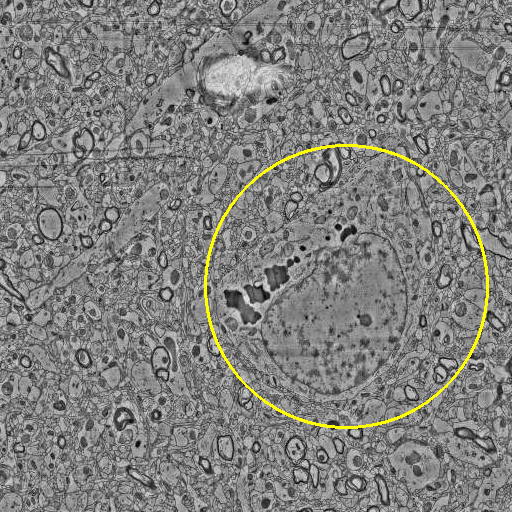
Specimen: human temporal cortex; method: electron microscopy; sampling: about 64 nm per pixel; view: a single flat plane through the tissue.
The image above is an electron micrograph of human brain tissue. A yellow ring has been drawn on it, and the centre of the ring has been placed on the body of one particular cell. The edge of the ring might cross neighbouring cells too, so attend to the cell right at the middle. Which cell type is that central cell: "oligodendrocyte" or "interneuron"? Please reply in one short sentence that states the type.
The central cell in the ring is an interneuron.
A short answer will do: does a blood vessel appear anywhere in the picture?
No, no vessel shows anywhere in the image.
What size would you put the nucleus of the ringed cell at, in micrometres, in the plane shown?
The ringed cell's nucleus measures approximately 11 by 8 micrometres in this plane.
